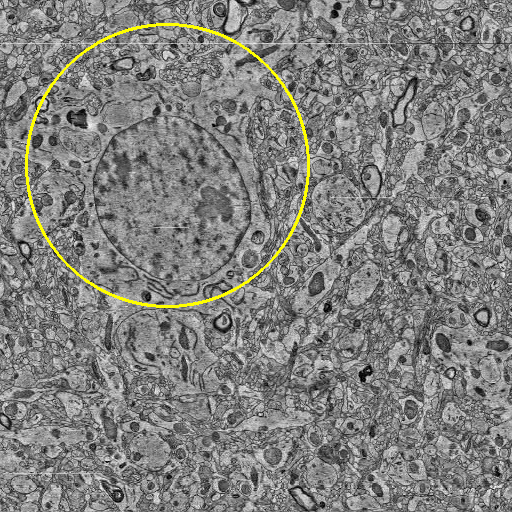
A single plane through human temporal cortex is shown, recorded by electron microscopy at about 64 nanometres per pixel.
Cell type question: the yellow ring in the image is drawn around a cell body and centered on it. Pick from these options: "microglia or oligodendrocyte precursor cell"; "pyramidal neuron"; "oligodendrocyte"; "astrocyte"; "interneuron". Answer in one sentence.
The ringed cell at the center is an astrocyte.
